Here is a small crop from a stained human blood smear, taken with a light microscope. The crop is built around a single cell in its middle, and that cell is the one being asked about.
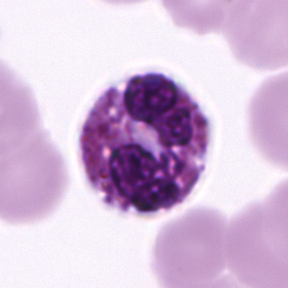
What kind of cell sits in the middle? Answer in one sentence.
Of the cells in this crop, the central one is an eosinophil.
